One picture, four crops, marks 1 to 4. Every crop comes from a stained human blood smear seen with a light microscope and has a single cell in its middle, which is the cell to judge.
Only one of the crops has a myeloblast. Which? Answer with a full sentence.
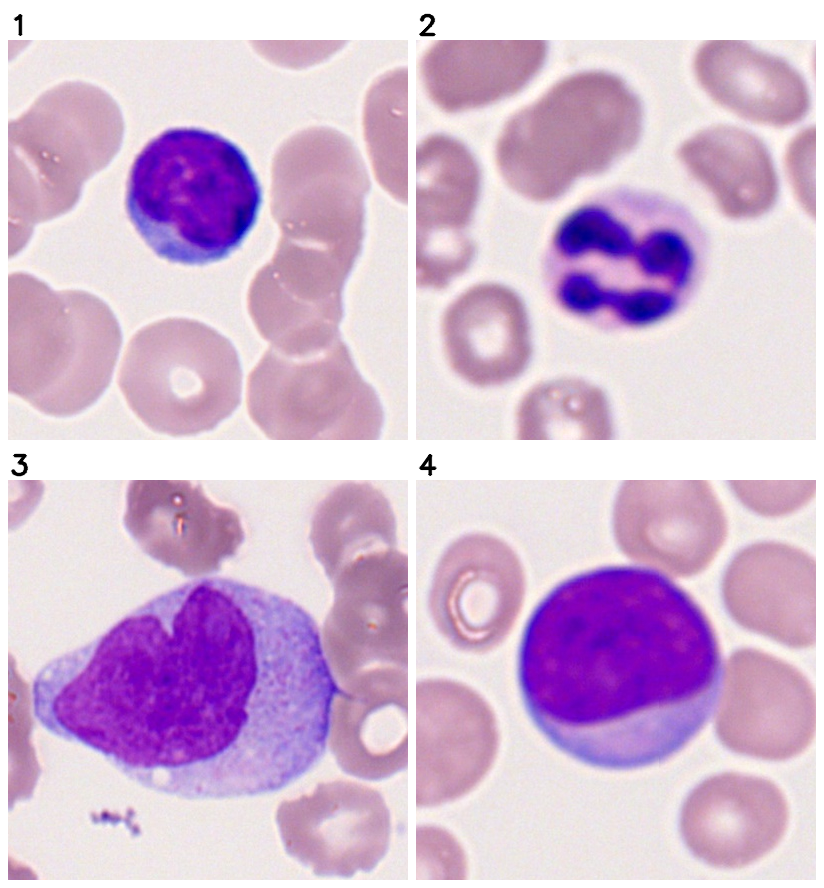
Crop 4 is the one to choose: it shows a myeloblast.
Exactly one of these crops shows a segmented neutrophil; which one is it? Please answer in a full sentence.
Crop 2 is the single crop that shows a segmented neutrophil.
